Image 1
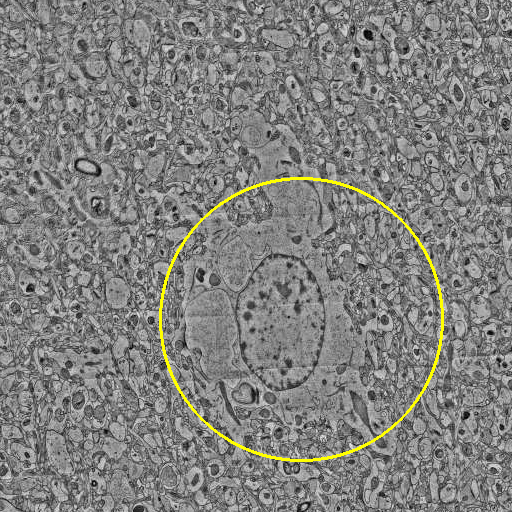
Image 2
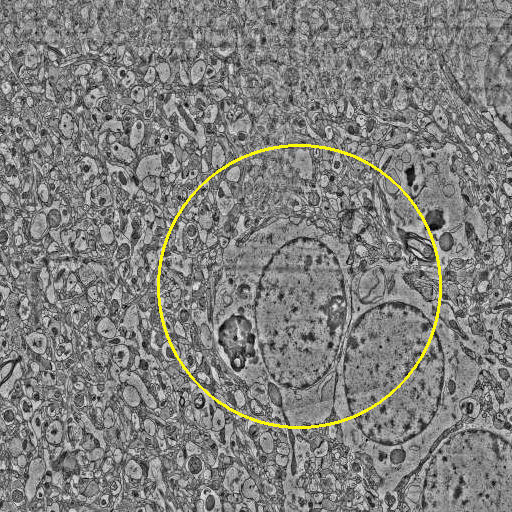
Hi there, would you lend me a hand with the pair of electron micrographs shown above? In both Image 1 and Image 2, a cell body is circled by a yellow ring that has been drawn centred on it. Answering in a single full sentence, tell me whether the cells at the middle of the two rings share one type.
Yes, the ringed cells in Image 1 and Image 2 share one type.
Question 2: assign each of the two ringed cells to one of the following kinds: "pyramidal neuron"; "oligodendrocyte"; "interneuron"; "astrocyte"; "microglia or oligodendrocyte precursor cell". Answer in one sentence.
In each picture the ringed cell is an astrocyte.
